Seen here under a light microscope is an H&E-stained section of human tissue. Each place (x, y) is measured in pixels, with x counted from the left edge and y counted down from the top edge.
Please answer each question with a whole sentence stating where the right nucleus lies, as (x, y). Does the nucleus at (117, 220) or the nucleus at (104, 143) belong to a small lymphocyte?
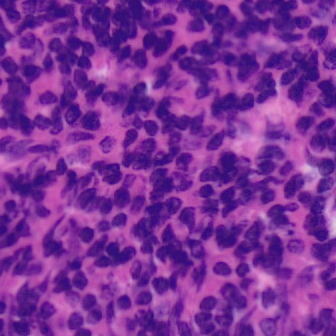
The nucleus at (117, 220), rather than the other, belongs to a small lymphocyte.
